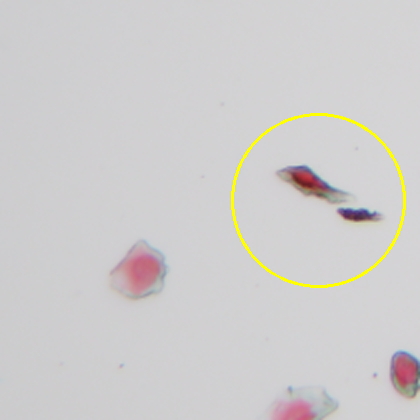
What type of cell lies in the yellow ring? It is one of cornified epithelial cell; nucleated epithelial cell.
The ringed cell is a cornified epithelial cell.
